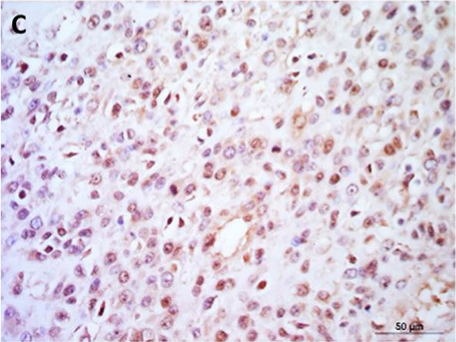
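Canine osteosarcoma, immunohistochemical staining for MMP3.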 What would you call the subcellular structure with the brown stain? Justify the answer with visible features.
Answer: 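Many round to oval nuclei are stained brown. Some nuclei remain blue, showing brown is within nuclei rather than background. Brown nuclei contain visible nucleoli. The answer: nuclei.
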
